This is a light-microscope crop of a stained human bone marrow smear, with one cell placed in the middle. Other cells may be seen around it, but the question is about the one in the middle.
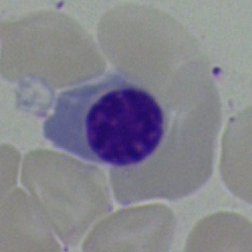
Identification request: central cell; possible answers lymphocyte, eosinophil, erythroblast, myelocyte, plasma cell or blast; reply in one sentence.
By classification, the middle cell of this crop is an erythroblast.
